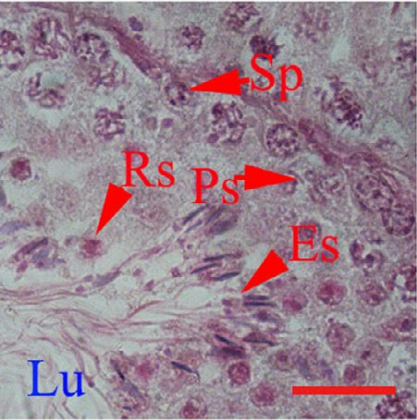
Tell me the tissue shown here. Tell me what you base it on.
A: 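A stratified epithelium of many round germ-cell nuclei lines a lumen. Cells with coarse thread-like chromatin lie among cells with small round nuclei. Slender dark-staining elongated nuclei cluster toward the lumen. Fine tail-like filaments fill the lumen. On this evidence: testes.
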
